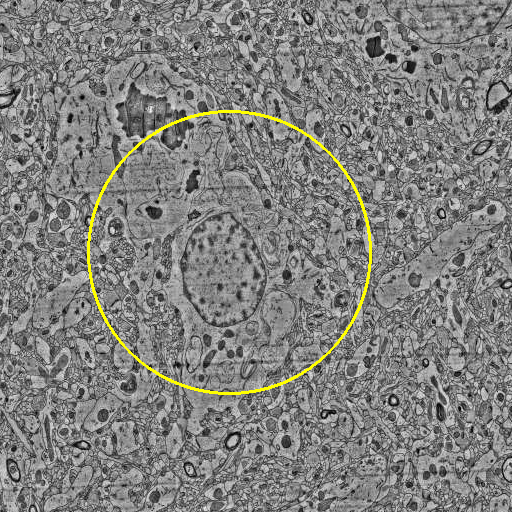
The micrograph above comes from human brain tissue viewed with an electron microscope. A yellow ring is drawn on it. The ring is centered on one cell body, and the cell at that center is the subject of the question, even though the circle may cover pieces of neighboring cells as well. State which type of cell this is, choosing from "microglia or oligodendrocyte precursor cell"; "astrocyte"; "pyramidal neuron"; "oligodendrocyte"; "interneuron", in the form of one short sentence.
The cell the ring is centered on is an astrocyte.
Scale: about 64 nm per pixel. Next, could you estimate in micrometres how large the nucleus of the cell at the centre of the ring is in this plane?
The ringed cell's nucleus measures approximately 7 by 5 micrometres in this plane.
